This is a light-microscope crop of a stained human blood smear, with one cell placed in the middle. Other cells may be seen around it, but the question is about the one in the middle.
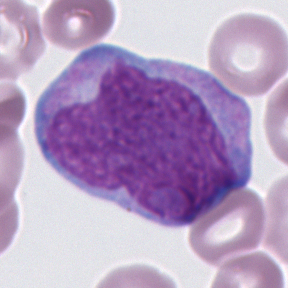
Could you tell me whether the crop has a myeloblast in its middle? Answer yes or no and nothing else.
no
